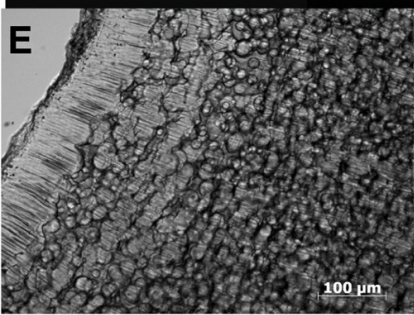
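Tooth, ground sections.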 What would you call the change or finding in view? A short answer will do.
Interglobular dentine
